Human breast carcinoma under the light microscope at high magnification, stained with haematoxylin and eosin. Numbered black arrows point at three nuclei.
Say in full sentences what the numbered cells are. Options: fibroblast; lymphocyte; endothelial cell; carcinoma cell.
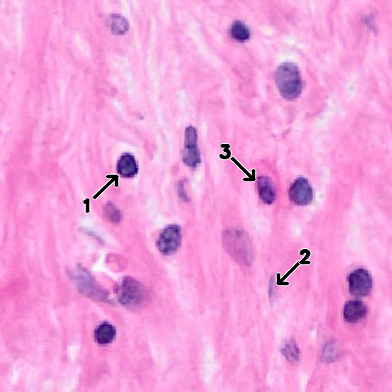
Cells 1 and 3 are lymphocytes. Cell 2 is a fibroblast.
